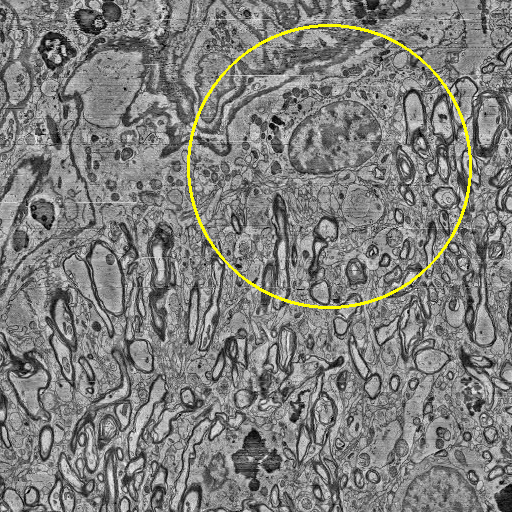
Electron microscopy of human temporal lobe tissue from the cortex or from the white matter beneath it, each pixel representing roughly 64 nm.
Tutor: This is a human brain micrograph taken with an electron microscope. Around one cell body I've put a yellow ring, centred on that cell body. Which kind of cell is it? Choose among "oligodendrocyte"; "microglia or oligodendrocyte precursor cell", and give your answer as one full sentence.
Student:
Going by your list, the cell centred in the yellow ring is a microglial cell or oligodendrocyte precursor cell.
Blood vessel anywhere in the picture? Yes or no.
Yes, a blood vessel can be seen.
